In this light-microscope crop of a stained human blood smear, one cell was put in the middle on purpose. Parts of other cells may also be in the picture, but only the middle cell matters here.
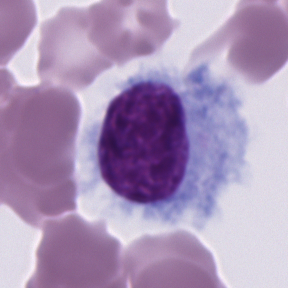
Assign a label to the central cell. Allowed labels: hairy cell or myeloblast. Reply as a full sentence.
The cell centred in this crop is categorized as a hairy cell.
